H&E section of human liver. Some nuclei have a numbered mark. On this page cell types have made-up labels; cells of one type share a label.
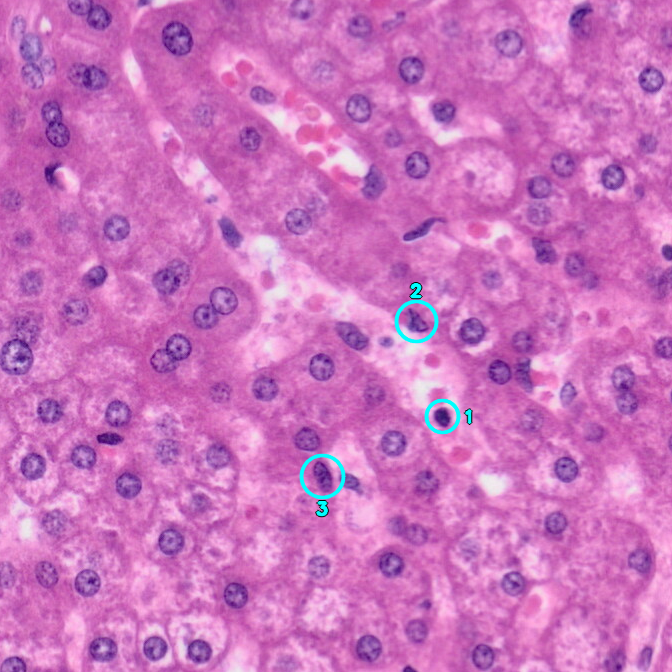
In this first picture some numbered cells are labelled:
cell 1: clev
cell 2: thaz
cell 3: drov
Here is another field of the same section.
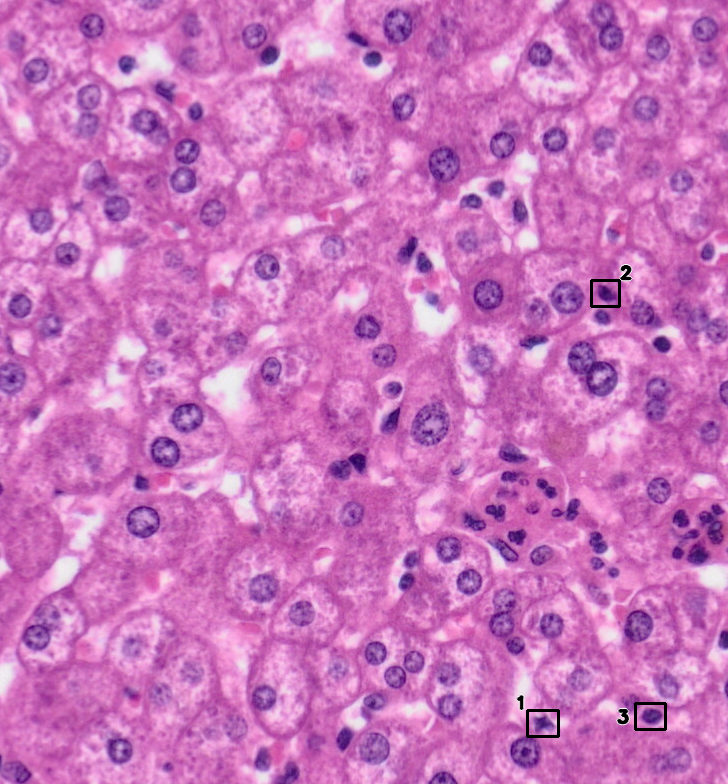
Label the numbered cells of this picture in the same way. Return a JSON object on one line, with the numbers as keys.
{"1": "thaz", "2": "drov", "3": "clev"}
